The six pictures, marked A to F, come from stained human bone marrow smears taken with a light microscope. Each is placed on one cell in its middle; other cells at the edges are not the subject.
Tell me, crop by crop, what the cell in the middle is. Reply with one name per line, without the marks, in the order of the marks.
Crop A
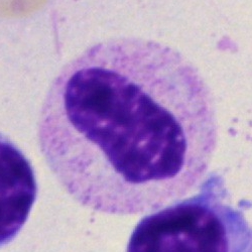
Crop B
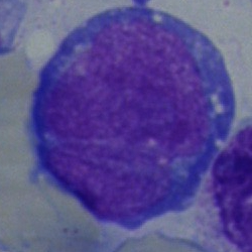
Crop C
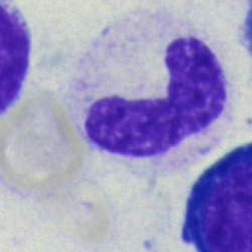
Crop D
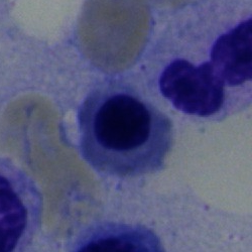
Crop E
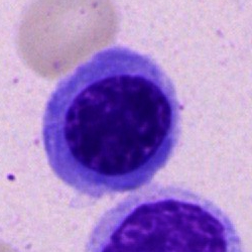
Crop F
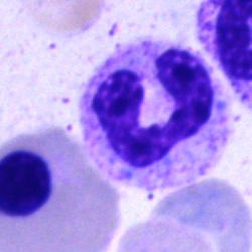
band neutrophil
blast
band neutrophil
erythroblast
erythroblast
band neutrophil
